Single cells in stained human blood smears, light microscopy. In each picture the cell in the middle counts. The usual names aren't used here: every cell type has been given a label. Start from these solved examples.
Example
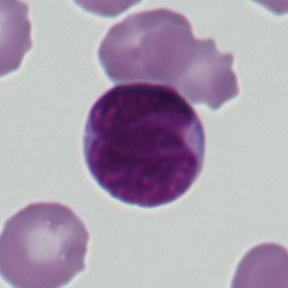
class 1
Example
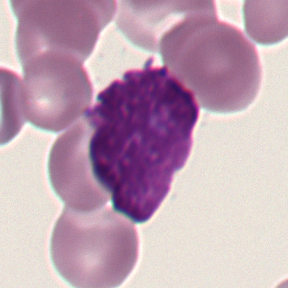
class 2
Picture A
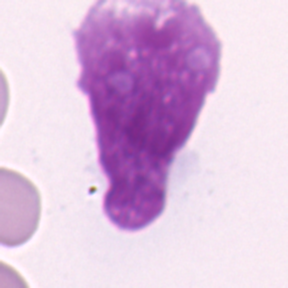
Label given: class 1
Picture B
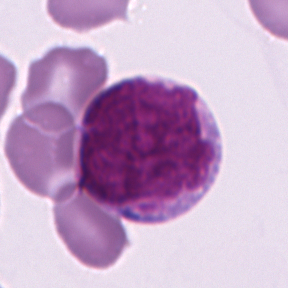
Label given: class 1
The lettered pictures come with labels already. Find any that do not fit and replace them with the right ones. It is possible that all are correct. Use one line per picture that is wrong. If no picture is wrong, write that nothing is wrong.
Wrong: A (class 1); correct: class 2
